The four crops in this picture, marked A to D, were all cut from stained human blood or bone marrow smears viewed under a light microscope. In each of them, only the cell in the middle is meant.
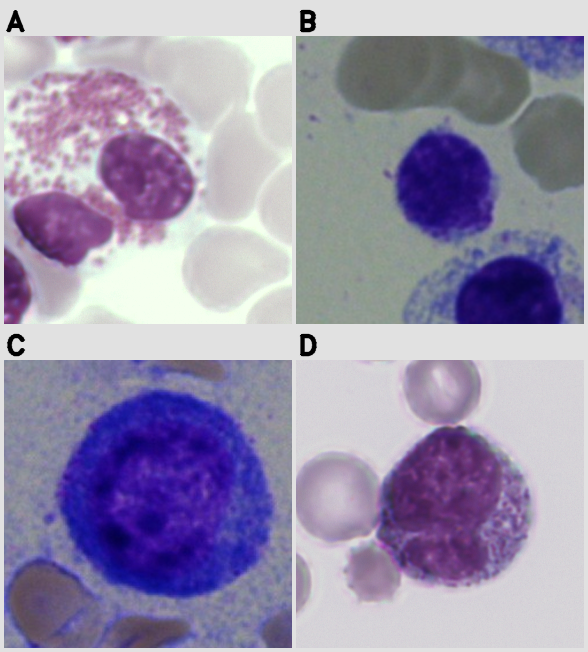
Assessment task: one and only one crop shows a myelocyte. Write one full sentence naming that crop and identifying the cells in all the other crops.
Crop D counts as a myelocyte, while crop A is an eosinophil, crop B is a lymphocyte and crop C is a promyelocyte.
